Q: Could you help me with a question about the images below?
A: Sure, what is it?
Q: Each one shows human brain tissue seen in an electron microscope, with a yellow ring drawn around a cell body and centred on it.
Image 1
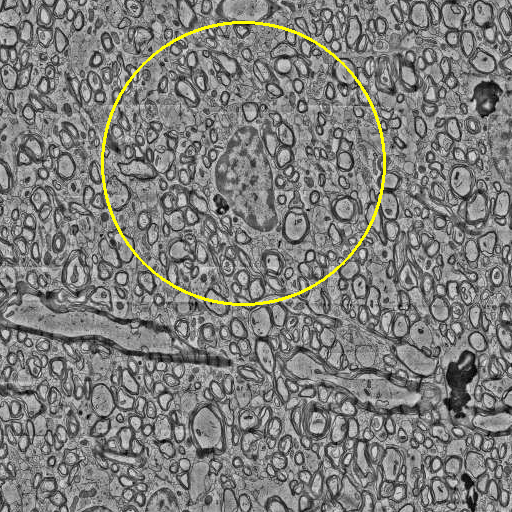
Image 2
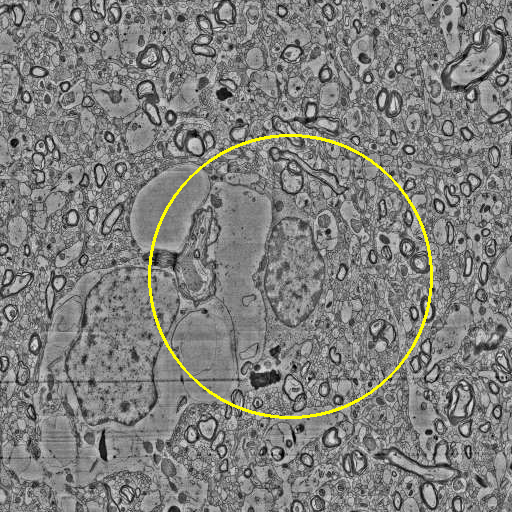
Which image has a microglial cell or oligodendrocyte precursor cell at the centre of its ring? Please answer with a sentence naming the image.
Image 1 has it at the centre of its ring.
